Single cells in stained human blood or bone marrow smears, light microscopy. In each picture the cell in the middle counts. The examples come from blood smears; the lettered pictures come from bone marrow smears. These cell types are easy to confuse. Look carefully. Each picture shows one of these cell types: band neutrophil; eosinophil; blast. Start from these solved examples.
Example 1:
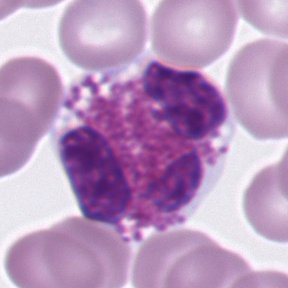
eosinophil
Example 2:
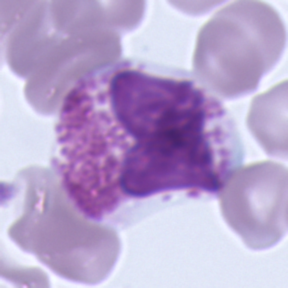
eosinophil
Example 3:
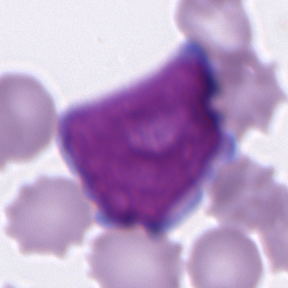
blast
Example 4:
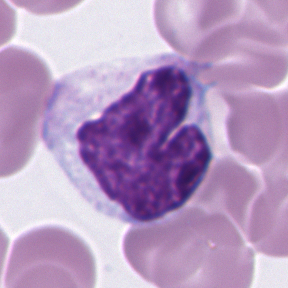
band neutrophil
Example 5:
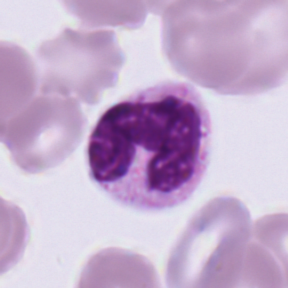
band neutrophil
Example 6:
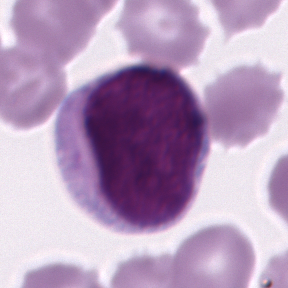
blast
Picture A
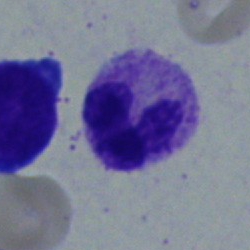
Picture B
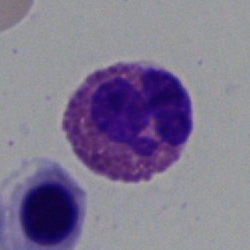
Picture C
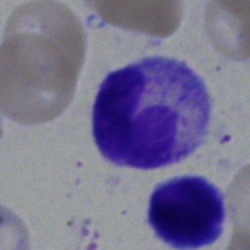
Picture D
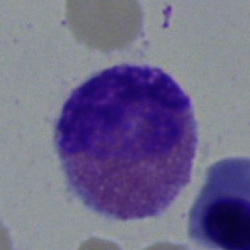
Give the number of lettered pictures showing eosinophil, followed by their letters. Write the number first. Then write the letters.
2, namely B, D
